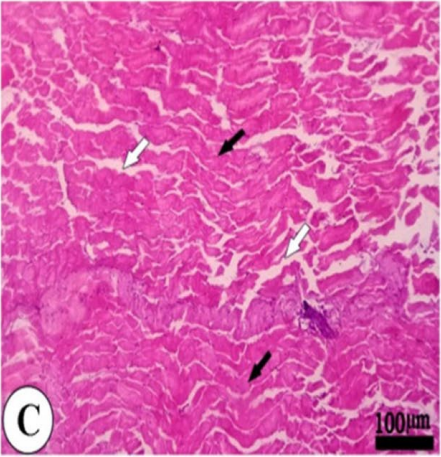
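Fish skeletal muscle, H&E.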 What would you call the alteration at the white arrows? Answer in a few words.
interstitial edema of endomysium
